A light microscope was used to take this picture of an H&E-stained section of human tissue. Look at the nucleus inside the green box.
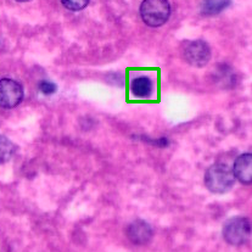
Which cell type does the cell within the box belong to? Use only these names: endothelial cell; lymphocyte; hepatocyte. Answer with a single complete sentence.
Just put down that the cell within the box is a lymphocyte.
